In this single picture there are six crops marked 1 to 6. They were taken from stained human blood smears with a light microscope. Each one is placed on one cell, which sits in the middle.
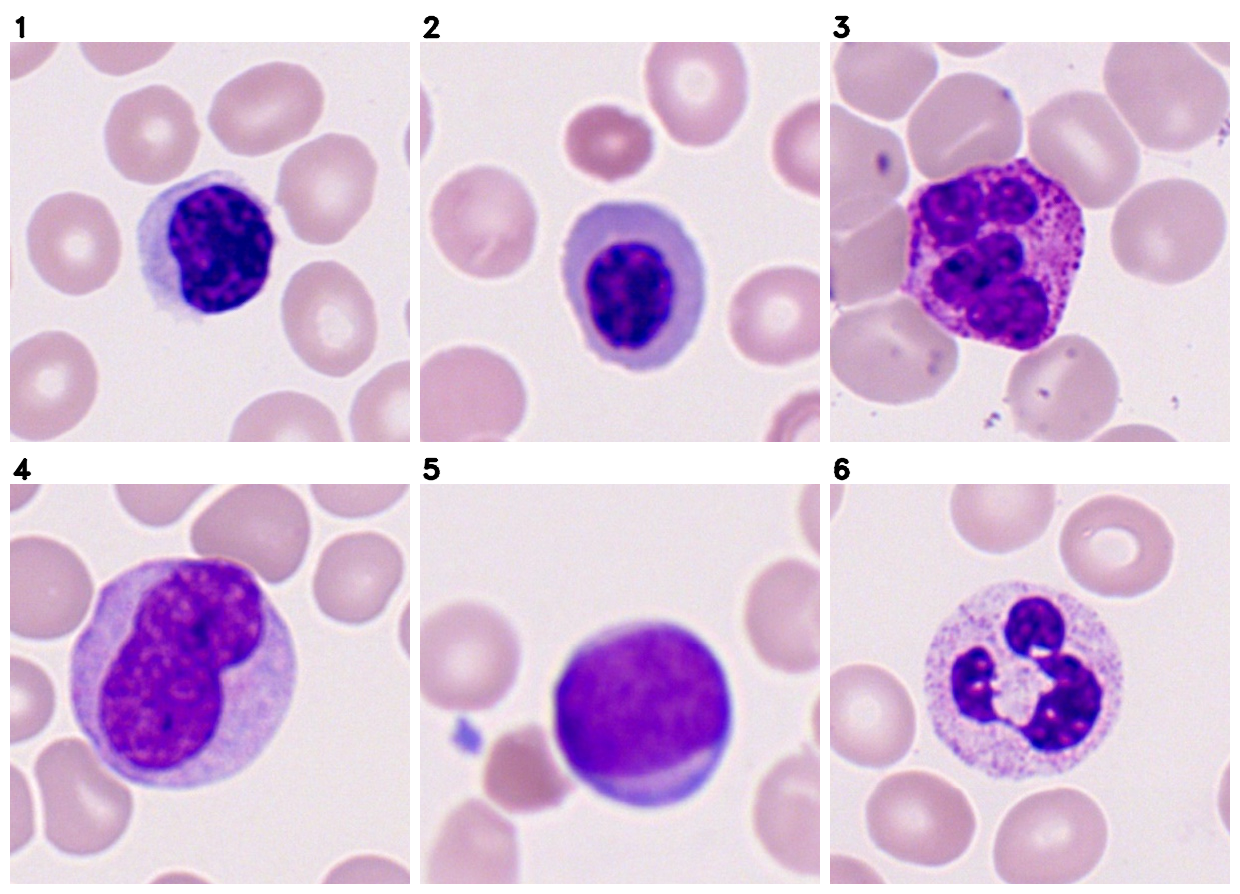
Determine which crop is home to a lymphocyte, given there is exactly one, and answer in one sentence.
The crop that has a lymphocyte in the middle is crop 1.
